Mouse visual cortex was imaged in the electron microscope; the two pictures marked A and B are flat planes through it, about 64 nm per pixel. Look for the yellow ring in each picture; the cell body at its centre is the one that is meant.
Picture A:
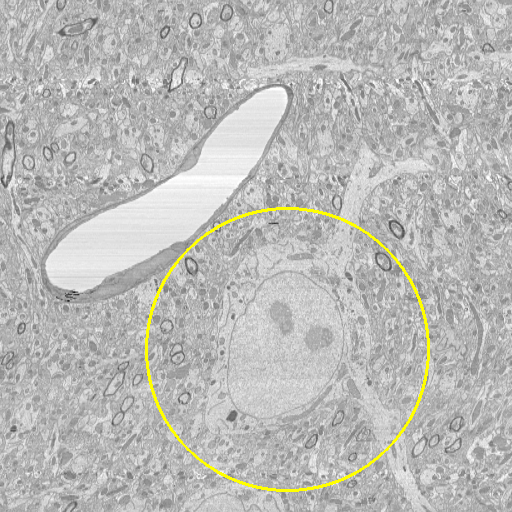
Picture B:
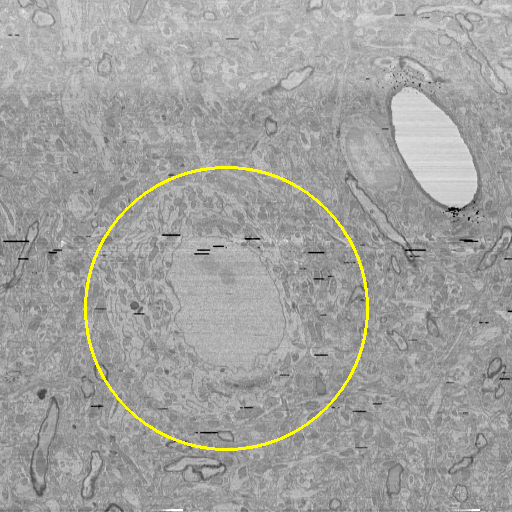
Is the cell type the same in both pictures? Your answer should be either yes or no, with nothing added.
no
